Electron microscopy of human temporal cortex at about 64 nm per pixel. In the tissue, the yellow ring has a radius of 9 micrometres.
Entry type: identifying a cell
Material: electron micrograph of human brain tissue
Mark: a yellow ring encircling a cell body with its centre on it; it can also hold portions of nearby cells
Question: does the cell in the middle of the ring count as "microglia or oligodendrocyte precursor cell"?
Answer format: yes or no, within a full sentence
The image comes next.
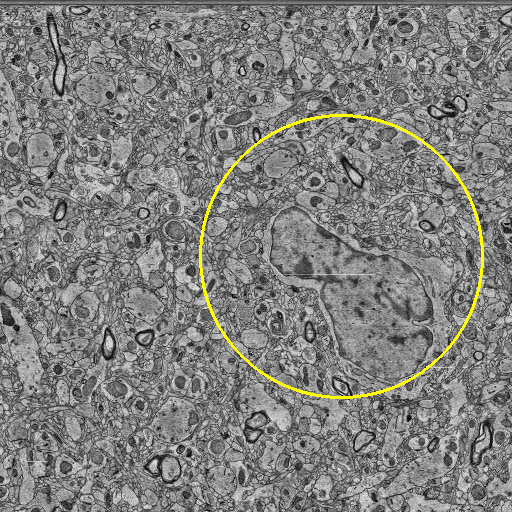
Yes, in the image, the cell in the middle of the yellow ring counts as the queried kind.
